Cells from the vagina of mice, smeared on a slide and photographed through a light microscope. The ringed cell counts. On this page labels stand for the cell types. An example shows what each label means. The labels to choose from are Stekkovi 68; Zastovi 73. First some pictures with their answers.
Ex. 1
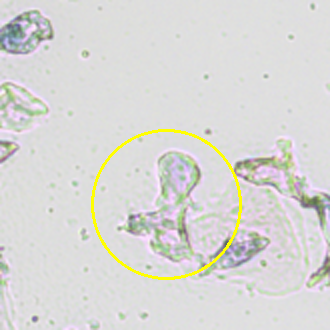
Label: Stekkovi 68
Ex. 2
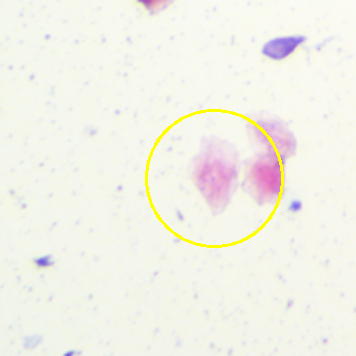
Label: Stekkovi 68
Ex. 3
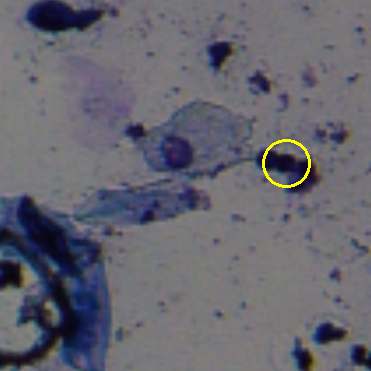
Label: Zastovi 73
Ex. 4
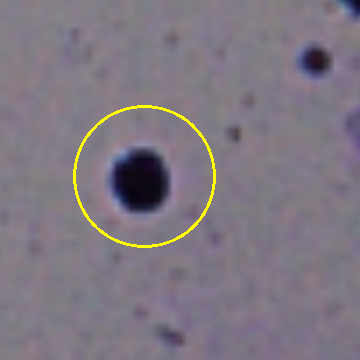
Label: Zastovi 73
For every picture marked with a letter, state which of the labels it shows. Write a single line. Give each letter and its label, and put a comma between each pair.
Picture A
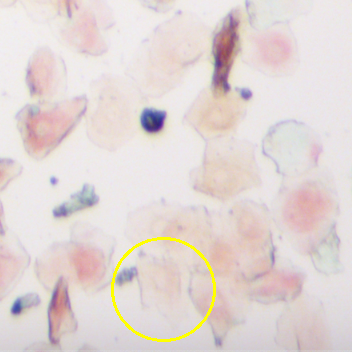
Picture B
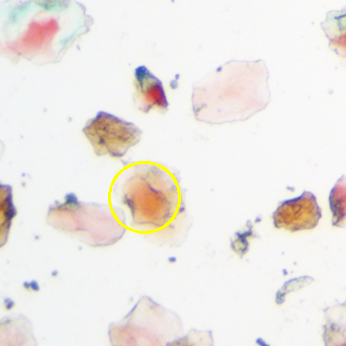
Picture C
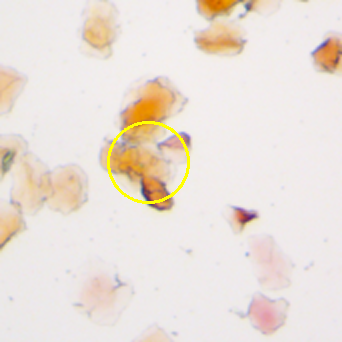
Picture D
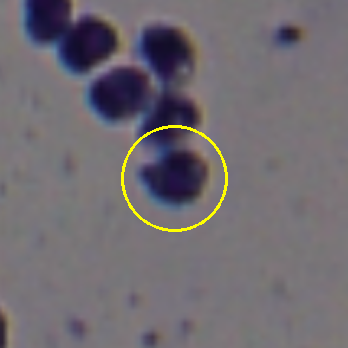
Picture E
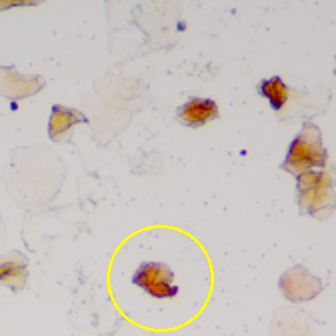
A Stekkovi 68, B Stekkovi 68, C Stekkovi 68, D Zastovi 73, E Stekkovi 68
